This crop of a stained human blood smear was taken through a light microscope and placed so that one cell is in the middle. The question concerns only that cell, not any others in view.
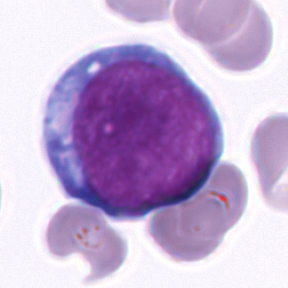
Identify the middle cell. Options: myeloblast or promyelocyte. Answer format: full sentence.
Centred in the crop is a myeloblast.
